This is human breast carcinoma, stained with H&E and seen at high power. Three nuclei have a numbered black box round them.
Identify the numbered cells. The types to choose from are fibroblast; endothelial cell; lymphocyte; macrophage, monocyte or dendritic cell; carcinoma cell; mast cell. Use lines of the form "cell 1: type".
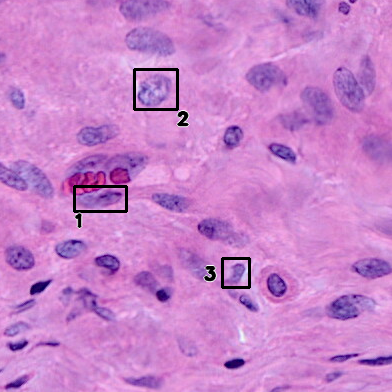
cell 1: endothelial cell
cell 2: fibroblast
cell 3: fibroblast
